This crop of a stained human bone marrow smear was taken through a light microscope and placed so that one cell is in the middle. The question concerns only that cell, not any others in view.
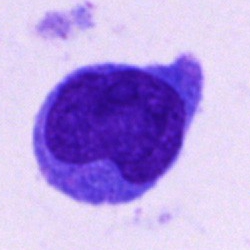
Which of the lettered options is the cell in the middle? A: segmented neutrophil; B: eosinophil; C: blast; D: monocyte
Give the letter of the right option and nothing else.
C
